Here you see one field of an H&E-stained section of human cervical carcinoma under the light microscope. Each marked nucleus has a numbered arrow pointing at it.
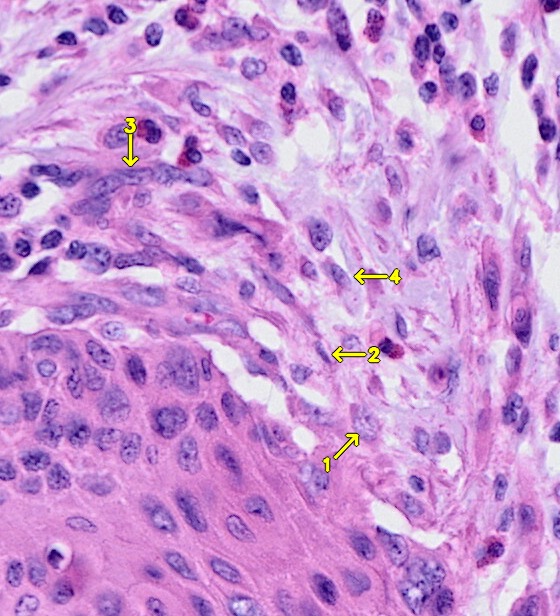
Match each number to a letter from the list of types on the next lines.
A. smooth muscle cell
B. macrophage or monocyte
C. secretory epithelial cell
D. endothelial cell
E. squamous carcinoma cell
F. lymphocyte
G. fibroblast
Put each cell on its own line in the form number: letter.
1: G
2: G
3: D
4: G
